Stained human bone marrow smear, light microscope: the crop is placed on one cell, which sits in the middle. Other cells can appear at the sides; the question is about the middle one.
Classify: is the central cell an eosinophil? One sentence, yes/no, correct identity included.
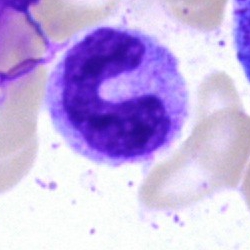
No, the central cell is reported as a band neutrophil rather than as an eosinophil.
